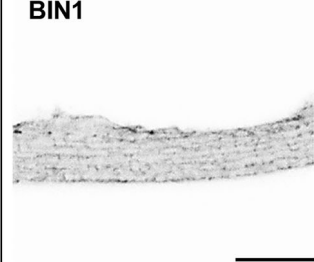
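An isolated skeletal muscle fiber lies horizontally across the field, its staining shown dark on a white background. Inside the fiber, thin dark lines run parallel to its long axis, forming longitudinal intracellular tubules. The fiber edge is marked by a darker rim, and the background outside the fiber is blank.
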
